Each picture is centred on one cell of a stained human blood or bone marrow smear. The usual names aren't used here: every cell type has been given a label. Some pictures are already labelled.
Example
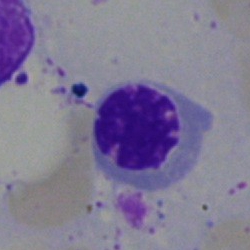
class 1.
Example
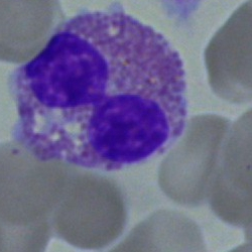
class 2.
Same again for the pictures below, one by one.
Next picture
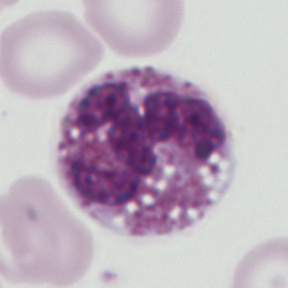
class 2.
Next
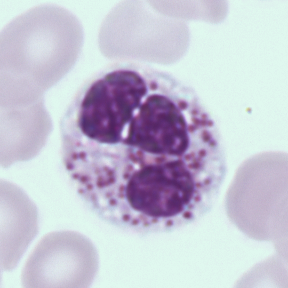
class 2.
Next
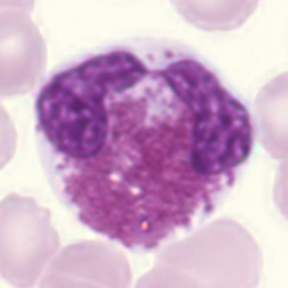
class 2.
